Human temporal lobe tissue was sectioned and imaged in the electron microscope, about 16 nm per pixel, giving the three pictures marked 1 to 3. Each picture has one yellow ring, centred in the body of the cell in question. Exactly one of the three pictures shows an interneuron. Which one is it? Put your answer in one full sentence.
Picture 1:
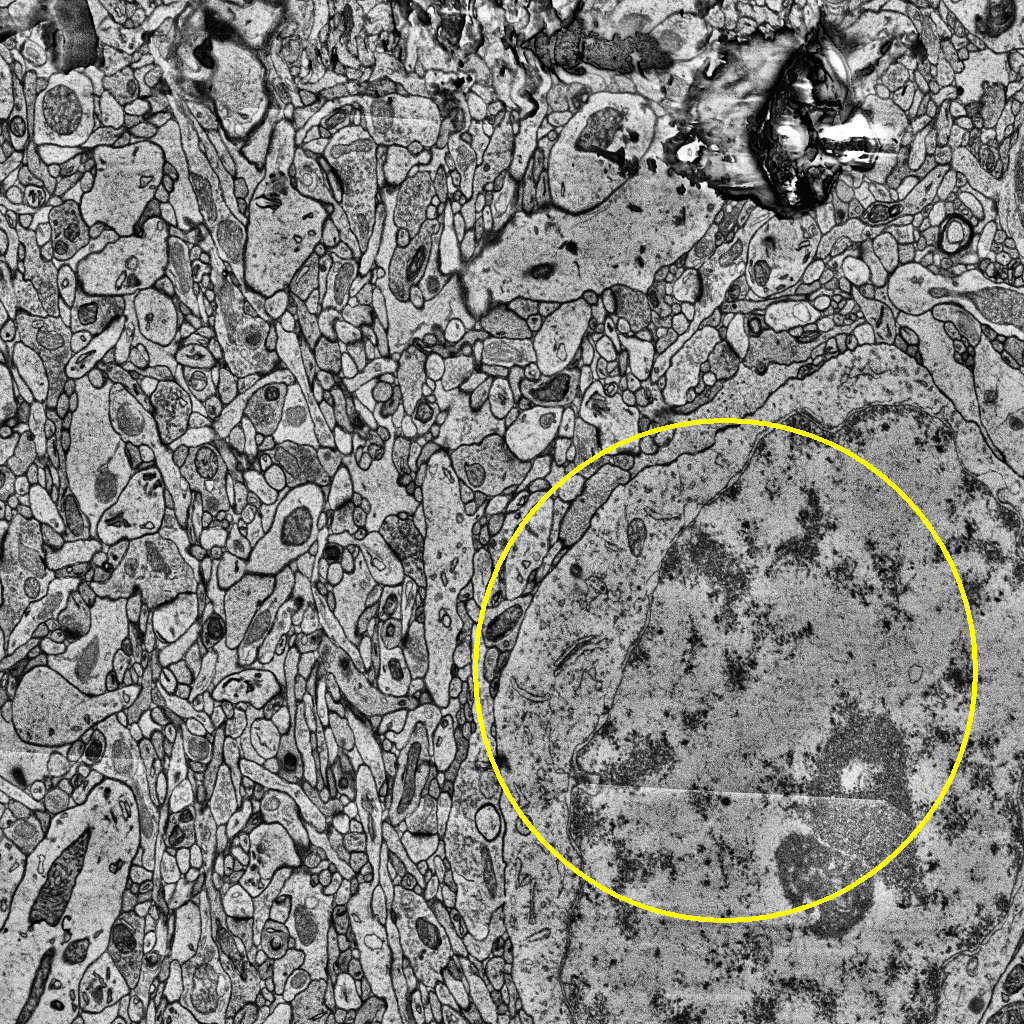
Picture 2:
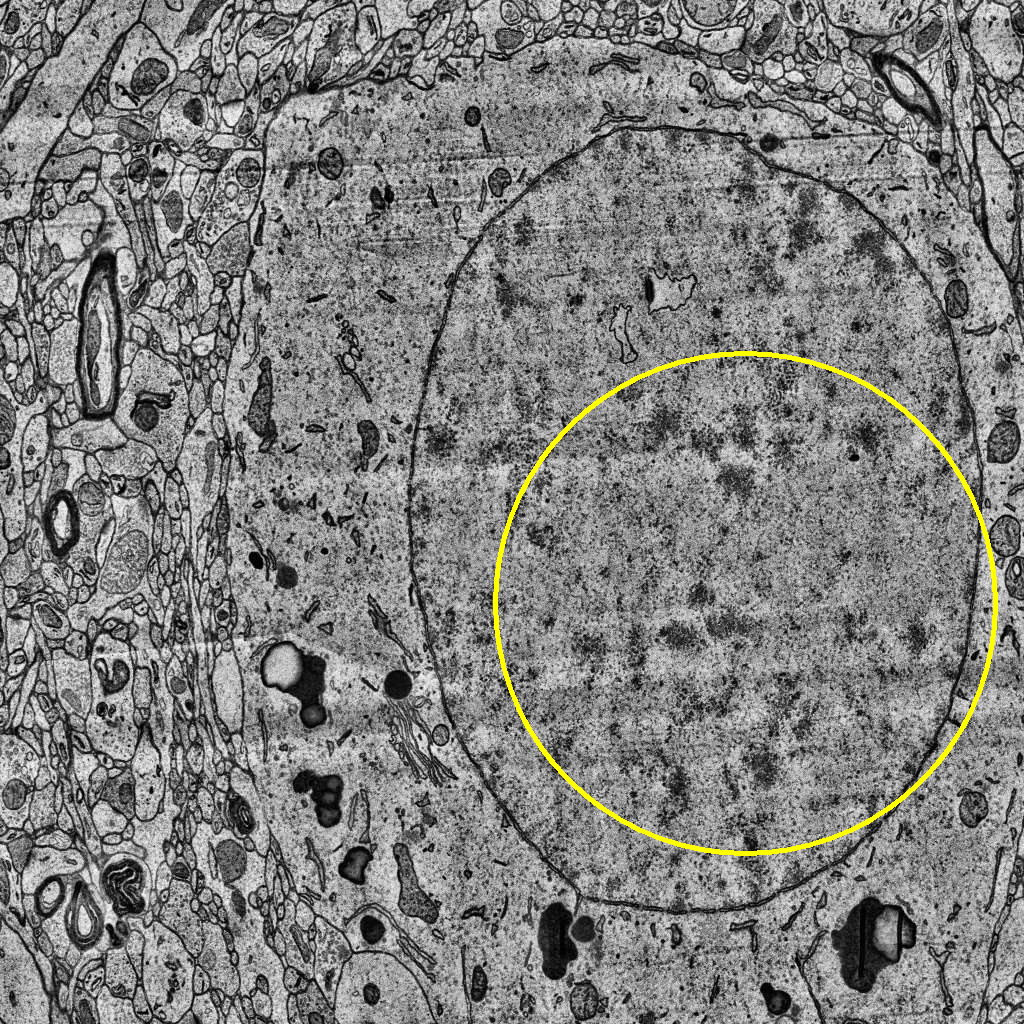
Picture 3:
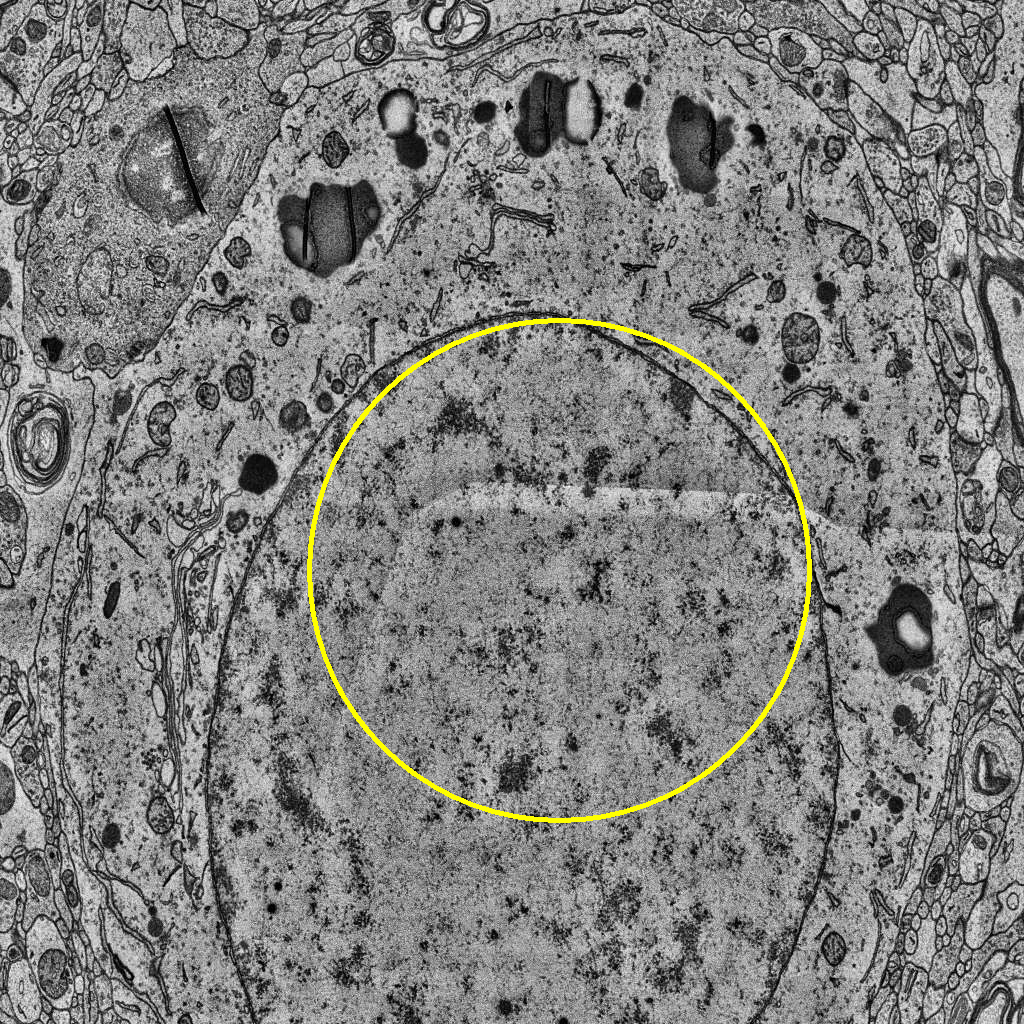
The picture with the interneuron is 1.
